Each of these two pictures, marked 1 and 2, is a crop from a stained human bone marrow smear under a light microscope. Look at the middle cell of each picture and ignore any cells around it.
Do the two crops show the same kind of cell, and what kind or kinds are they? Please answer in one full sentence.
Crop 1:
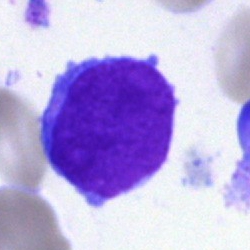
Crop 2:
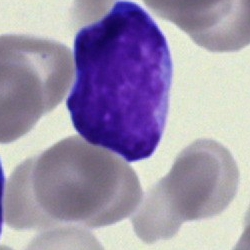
Yes, put down blasts for both crops.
